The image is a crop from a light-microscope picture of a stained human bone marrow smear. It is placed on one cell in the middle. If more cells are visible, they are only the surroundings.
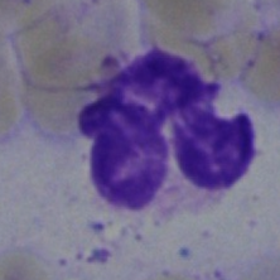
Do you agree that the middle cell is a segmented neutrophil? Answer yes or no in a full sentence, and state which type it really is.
Yes, the cell occupying the center is a segmented neutrophil.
